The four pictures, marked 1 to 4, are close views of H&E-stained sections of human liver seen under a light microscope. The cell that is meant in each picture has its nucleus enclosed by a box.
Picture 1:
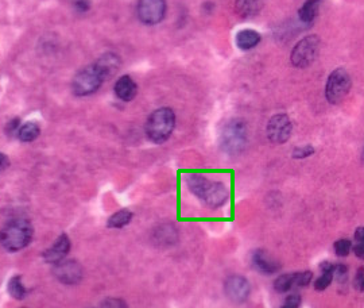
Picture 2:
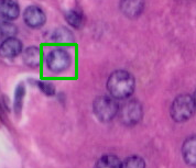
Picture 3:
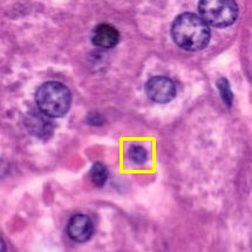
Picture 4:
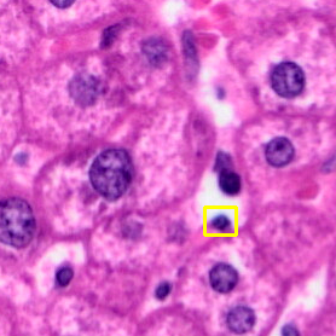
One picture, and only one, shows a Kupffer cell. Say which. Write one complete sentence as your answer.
It is picture 1 that shows the Kupffer cell.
